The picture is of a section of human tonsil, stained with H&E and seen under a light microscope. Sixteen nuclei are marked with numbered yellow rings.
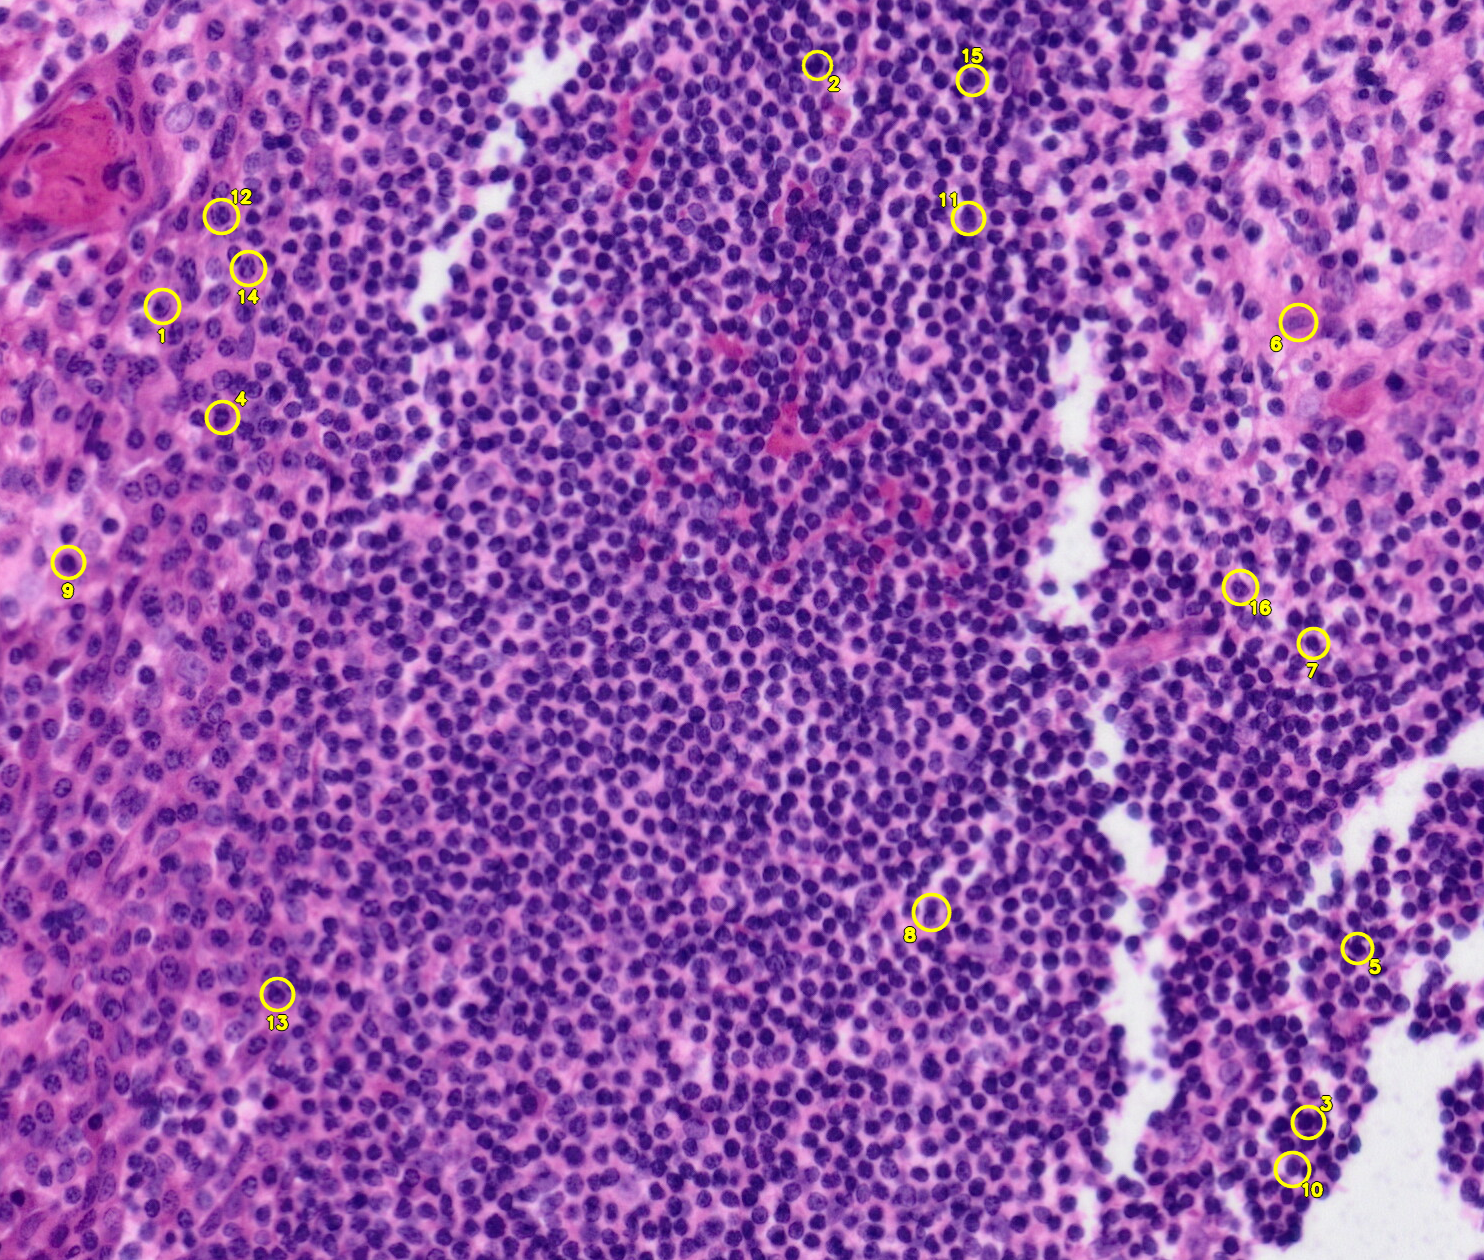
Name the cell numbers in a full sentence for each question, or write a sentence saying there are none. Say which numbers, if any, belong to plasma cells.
The cells referred to by numbers 1, 4, 9, 12, 13 and 14 are plasma cells.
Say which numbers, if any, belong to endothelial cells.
Among the marked cells, cell number 6 alone is an endothelial cell.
